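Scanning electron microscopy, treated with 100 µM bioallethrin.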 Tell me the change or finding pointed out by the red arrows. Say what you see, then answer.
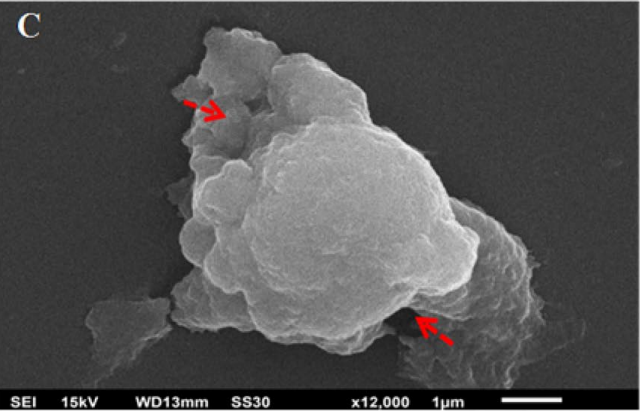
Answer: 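Flattened, wrinkled sheet-like extensions spread out from the cell body. The arrows point at folded, irregular margins of the cell. The answer: disrupted morphology.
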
